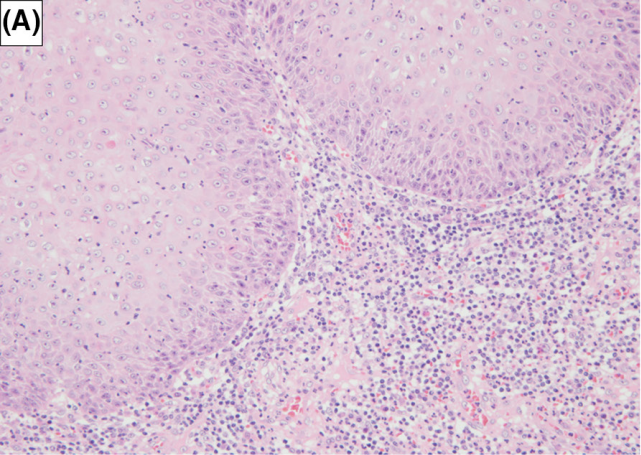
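Two large nests of epithelial tumour cells are separated by a stroma densely infiltrated by lymphocytes. The epithelial cells are large and polygonal with pale pink cytoplasm and round nuclei, forming solid sheets with a more basophilic layer along the nest edges. The intervening stroma is crowded with small round lymphocytes with dark, densely stained nuclei and scant cytoplasm. Small blood vessels containing red blood cells are scattered among the lymphocytes. Little fibrous collagen is seen around the nests.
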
